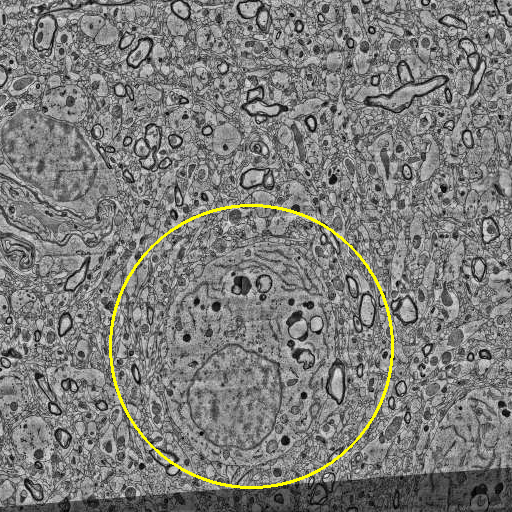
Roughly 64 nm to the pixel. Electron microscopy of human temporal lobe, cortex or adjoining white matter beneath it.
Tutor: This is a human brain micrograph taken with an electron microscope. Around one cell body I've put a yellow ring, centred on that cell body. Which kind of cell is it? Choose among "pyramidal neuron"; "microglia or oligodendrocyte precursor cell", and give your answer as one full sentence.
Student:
Going by your list, the cell centred in the yellow ring is a pyramidal neuron.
